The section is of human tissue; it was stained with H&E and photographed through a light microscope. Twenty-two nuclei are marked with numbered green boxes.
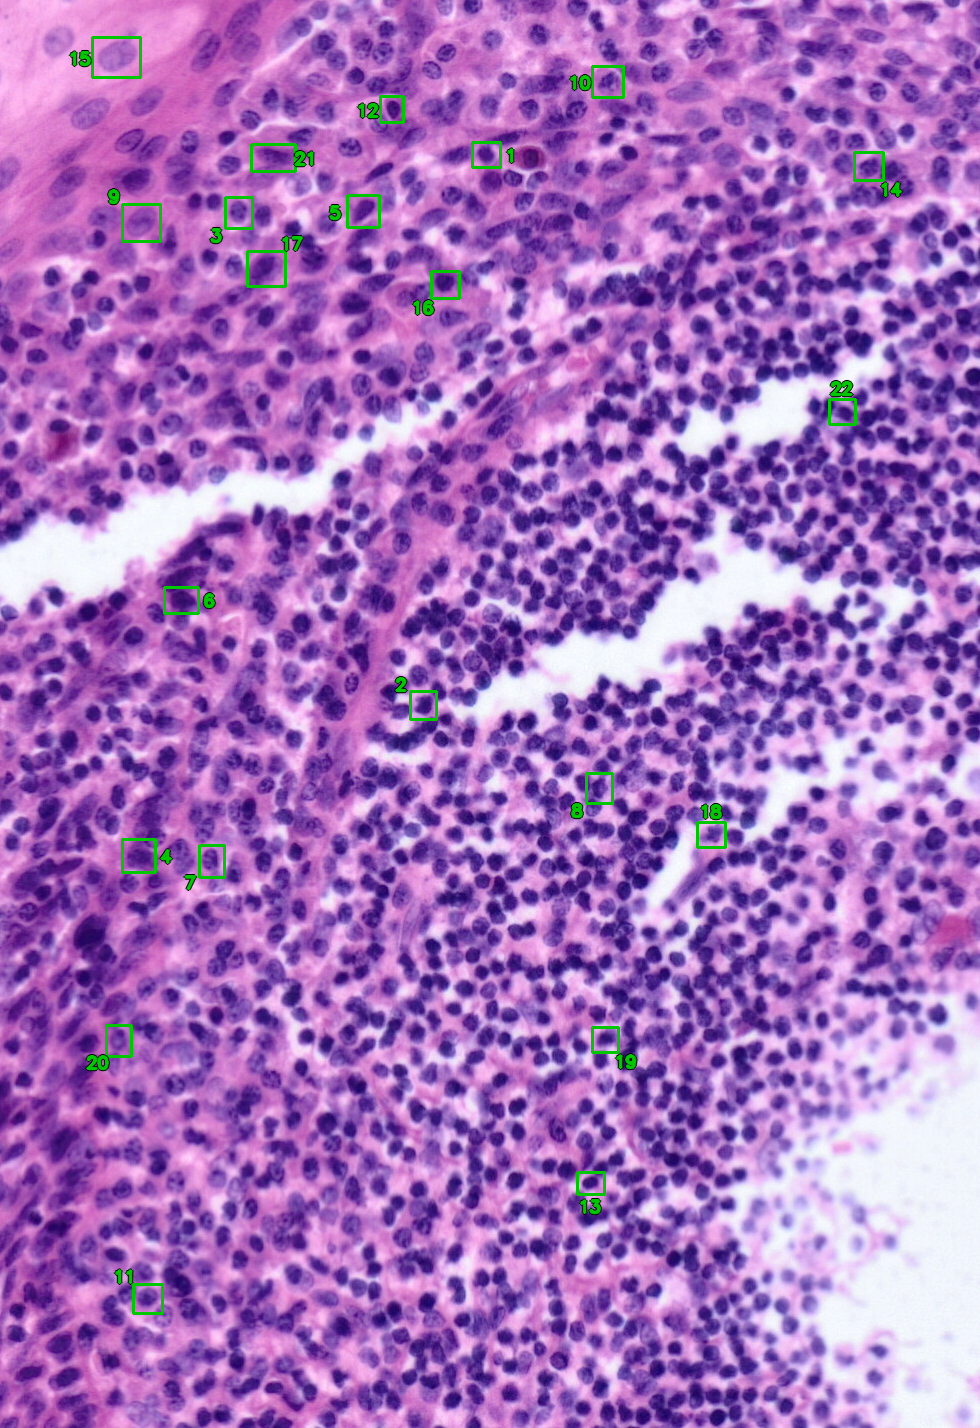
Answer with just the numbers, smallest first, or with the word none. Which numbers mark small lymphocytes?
2, 8, 13, 18, 19, 22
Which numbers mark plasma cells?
3, 7, 10, 11, 12, 14, 16, 20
